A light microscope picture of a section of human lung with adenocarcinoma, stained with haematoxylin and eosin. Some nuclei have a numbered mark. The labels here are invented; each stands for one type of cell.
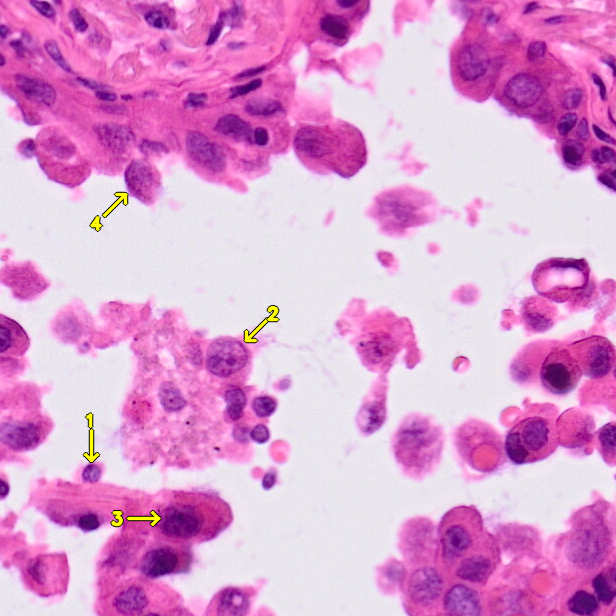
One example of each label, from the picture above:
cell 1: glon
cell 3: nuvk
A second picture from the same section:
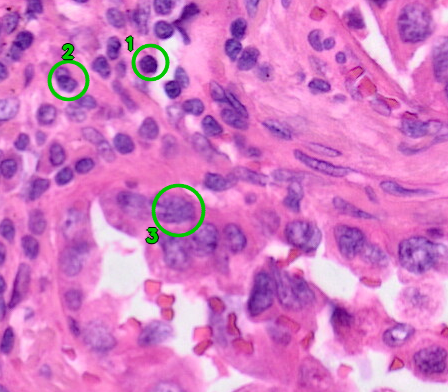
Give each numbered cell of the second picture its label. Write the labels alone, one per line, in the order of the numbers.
glon
glon
nuvk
